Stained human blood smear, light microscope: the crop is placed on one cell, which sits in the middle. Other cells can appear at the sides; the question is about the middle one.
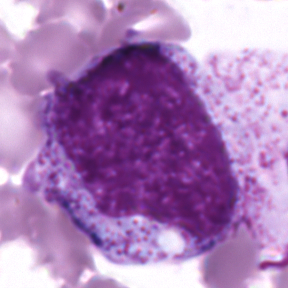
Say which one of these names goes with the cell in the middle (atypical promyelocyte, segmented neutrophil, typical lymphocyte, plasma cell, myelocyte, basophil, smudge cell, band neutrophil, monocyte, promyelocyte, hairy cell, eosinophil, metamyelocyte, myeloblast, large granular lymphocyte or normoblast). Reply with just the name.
myelocyte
